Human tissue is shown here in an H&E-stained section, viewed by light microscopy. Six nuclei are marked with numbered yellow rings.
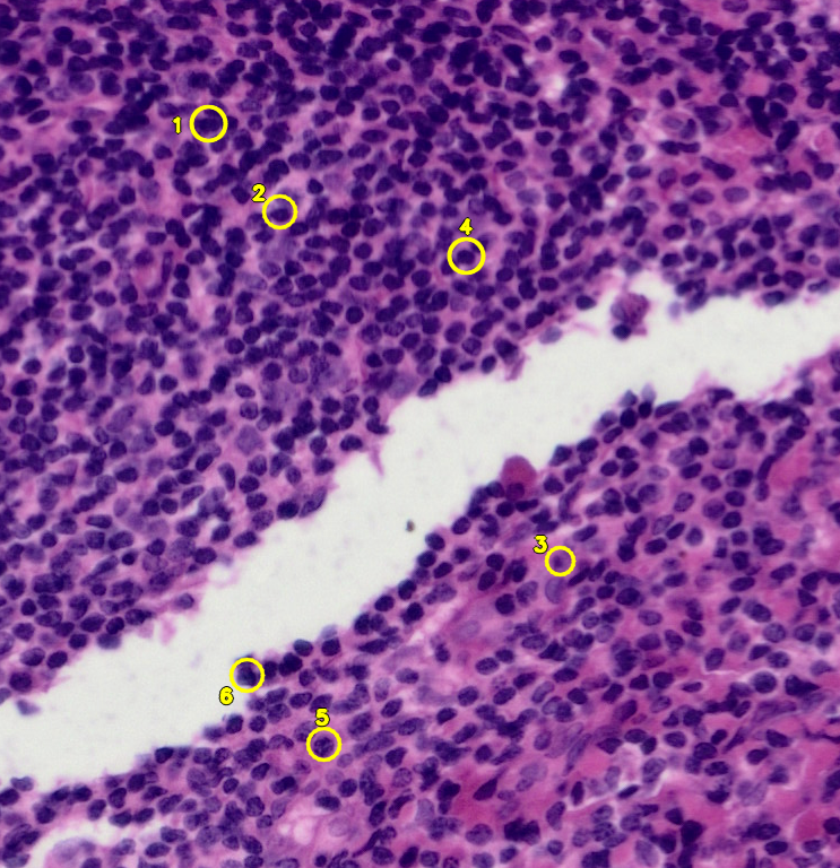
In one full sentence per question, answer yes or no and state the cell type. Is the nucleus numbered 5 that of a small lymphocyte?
No, number 5 is not a small lymphocyte; it is a plasma cell.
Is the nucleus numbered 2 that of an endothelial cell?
No, the cell given number 2 is a small lymphocyte, not an endothelial cell.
